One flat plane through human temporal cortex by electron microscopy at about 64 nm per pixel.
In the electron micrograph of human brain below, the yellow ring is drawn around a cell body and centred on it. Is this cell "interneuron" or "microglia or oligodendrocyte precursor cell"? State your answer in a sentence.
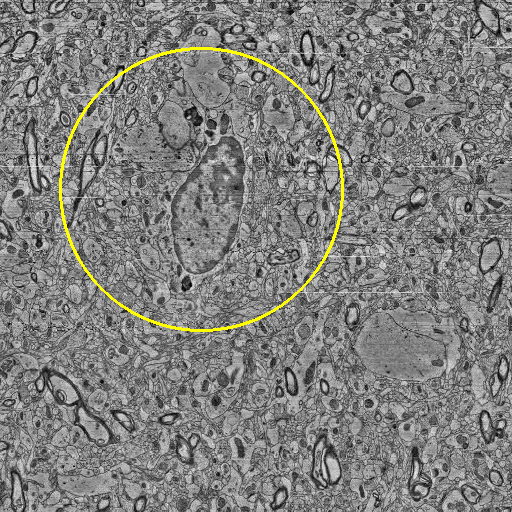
The cell in the middle of the ring is a microglial cell or oligodendrocyte precursor cell.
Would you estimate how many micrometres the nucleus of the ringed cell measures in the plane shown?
Approximately 7 micrometres long and 4 micrometres wide, so clearly longer than it is wide in this plane.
